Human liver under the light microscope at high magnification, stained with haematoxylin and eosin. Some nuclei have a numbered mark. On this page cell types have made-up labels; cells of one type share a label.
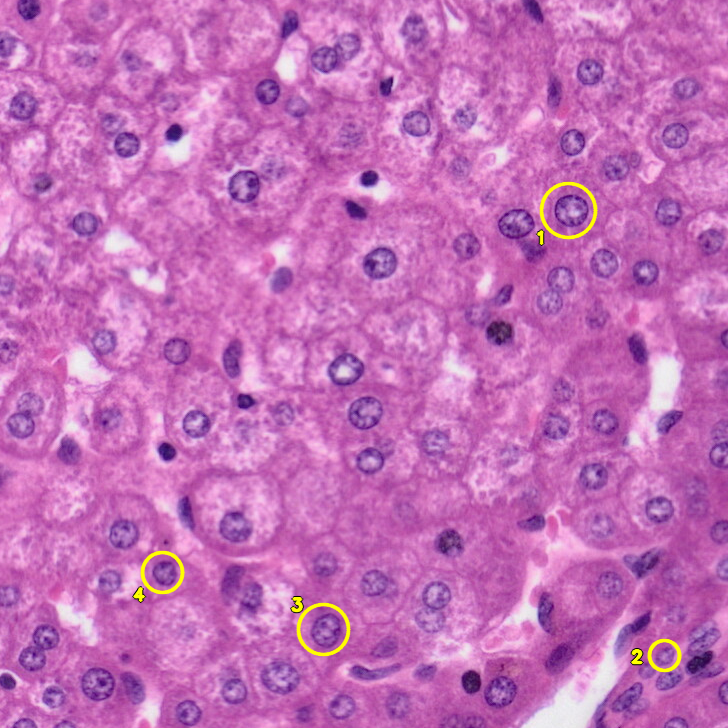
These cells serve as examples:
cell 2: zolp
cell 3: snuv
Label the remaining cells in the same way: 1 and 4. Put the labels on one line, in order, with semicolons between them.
snuv; snuv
